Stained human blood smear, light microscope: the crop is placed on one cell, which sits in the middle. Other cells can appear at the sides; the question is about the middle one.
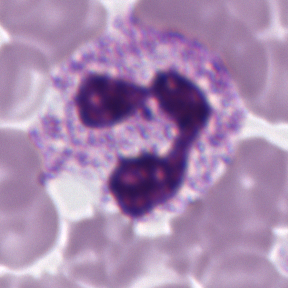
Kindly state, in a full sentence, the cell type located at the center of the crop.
As for the cell in the middle, it is a neutrophil.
